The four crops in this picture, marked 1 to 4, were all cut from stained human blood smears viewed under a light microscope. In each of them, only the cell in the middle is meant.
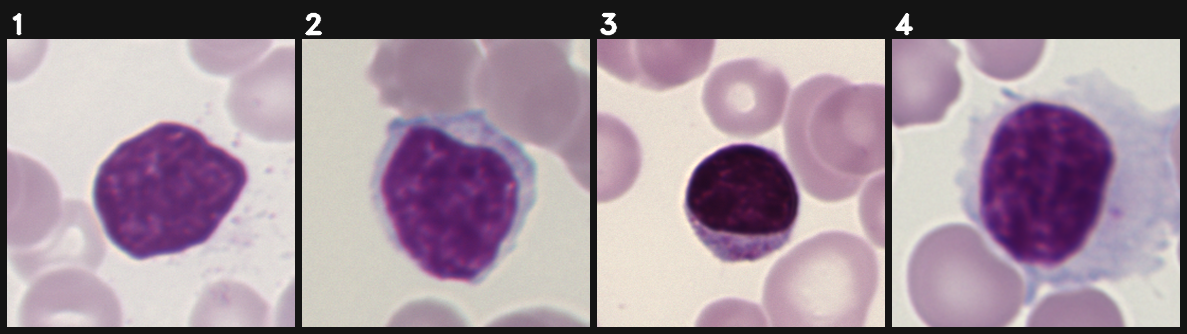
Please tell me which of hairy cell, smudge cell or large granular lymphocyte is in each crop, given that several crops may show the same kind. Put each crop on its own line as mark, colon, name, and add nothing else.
1: smudge cell
2: large granular lymphocyte
3: large granular lymphocyte
4: hairy cell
